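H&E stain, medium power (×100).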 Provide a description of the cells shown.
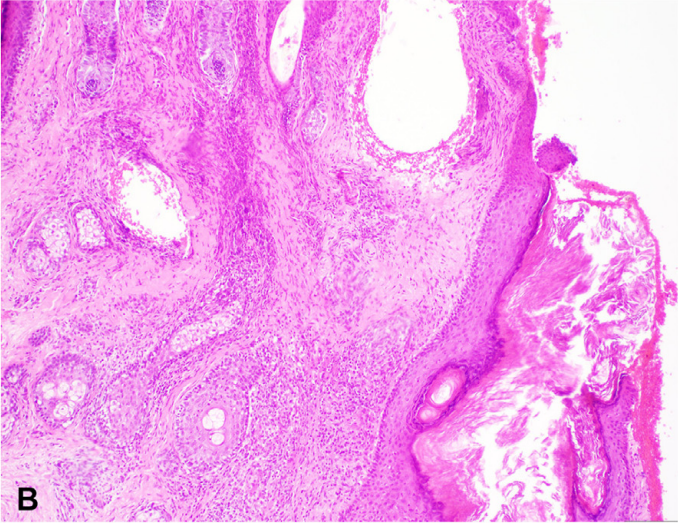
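Large empty, rounded spaces lie in the upper dermis. On the right, stratified squamous epithelium lines a widened follicular opening filled with pink, flaky keratin. Between these structures, the pink collagenous stroma is crowded with inflammatory cells.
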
